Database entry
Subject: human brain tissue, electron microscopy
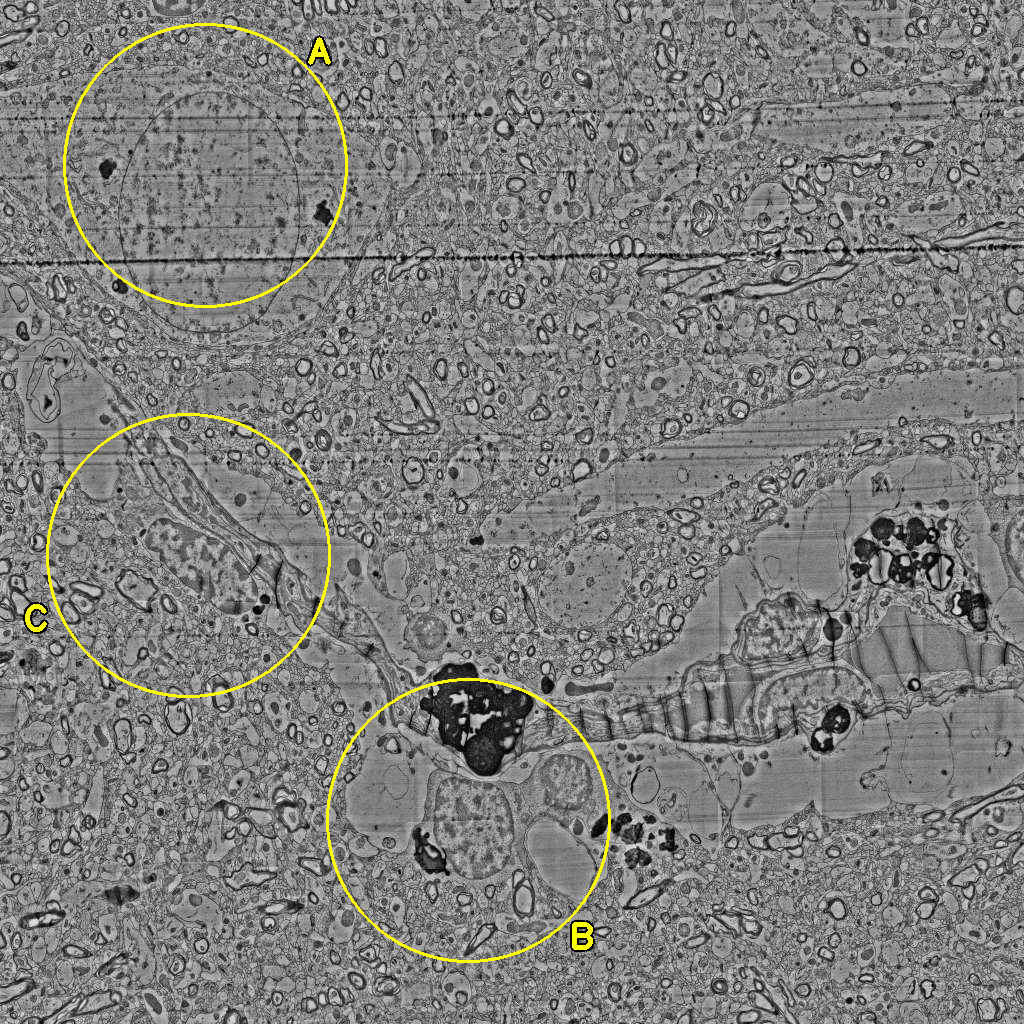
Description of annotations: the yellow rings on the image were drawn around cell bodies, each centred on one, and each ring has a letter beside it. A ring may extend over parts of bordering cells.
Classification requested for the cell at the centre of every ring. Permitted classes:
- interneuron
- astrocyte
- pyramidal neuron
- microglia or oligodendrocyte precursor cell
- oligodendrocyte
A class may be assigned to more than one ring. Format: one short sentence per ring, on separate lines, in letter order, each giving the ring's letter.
The cell body at the centre of ring A is a pyramidal neuron.
The cell body at the centre of ring B is an oligodendrocyte.
The cell body at the centre of ring C is a microglial cell or oligodendrocyte precursor cell.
